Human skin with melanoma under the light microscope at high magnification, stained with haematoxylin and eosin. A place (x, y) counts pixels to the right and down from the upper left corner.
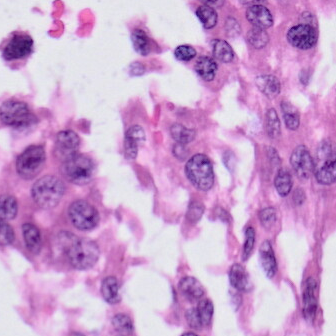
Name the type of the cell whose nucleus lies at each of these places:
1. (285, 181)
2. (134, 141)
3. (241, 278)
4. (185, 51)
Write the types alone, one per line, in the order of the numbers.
melanoma cell
melanoma cell
melanoma cell
lymphocyte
